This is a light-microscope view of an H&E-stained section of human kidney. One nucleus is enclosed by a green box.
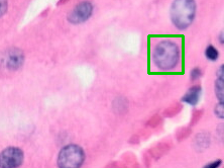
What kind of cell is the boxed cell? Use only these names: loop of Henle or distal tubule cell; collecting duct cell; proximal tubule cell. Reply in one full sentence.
Labelled by cell type, the boxed cell is a proximal tubule cell.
